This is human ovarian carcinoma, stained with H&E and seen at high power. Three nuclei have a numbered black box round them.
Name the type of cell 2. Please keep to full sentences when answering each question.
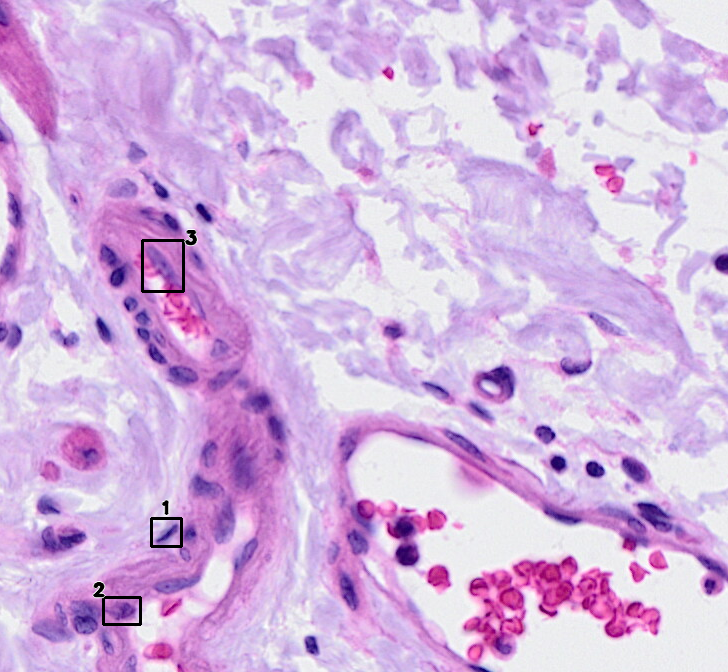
The cell numbered 2 represents an endothelial cell.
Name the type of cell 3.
The identity of cell 3 is that of an endothelial cell.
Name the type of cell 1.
The cell pointed out by number 1 is a fibroblast.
